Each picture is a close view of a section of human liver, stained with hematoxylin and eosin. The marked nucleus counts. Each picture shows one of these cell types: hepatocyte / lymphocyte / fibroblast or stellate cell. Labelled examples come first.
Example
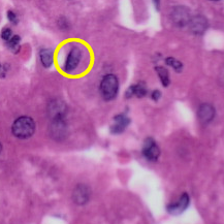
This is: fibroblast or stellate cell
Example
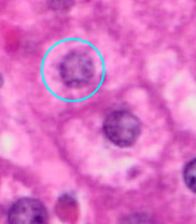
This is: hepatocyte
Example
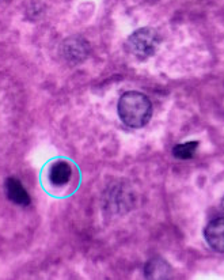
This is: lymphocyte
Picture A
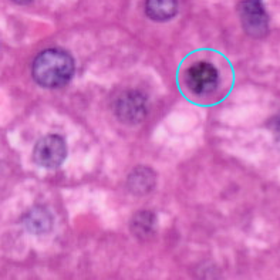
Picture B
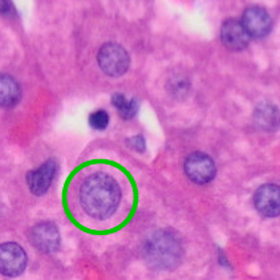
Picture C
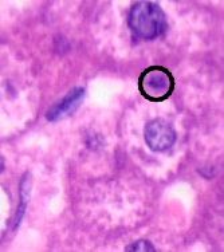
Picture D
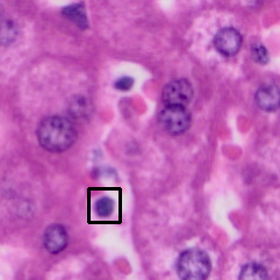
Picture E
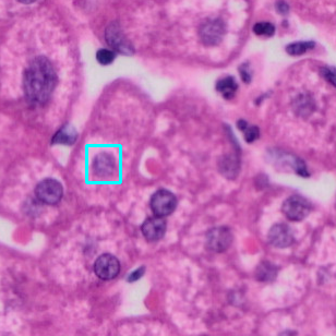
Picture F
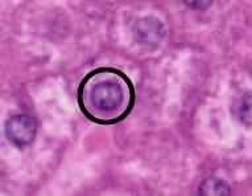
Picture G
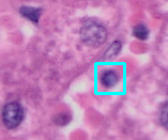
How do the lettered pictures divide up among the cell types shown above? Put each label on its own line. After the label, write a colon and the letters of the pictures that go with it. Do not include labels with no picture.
hepatocyte: A, B, E, F
lymphocyte: D, G
fibroblast or stellate cell: C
